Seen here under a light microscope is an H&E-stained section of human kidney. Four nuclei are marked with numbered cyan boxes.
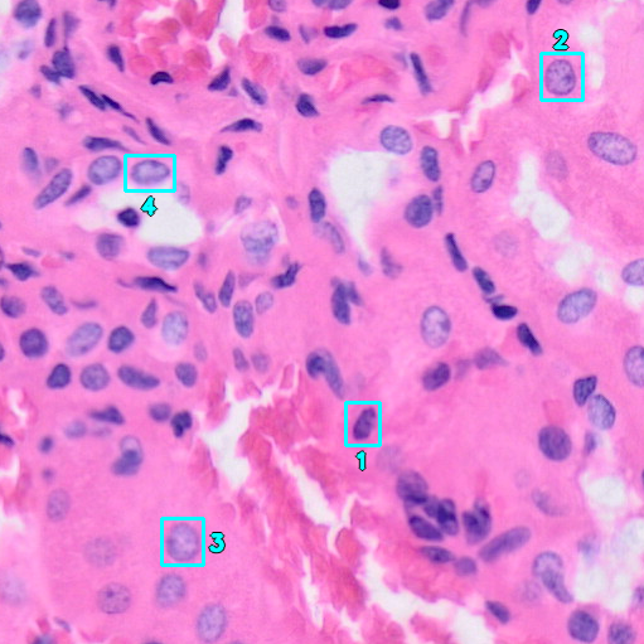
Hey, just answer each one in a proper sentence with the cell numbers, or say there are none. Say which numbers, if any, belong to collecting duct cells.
Of the marked cells, the one numbered 4 is a collecting duct cell and the rest are not.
